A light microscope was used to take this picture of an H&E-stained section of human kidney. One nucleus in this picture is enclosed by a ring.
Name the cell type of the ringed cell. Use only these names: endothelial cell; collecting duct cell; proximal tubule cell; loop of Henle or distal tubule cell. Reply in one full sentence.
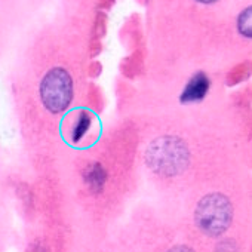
The correct response here is that the ringed cell is an endothelial cell.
